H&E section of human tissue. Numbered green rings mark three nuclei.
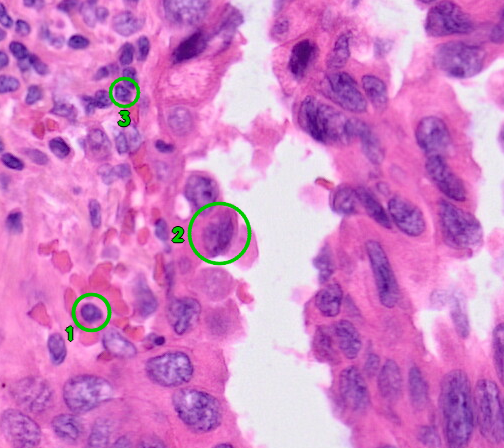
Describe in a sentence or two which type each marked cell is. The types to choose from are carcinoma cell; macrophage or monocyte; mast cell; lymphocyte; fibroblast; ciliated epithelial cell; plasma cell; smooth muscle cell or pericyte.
Cells 1 and 3 are lymphocytes. Cell 2 is a carcinoma cell.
